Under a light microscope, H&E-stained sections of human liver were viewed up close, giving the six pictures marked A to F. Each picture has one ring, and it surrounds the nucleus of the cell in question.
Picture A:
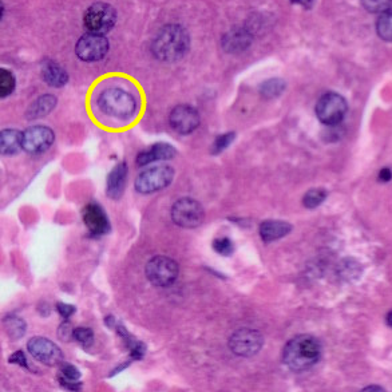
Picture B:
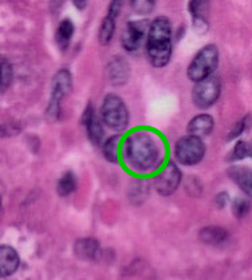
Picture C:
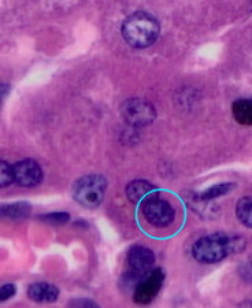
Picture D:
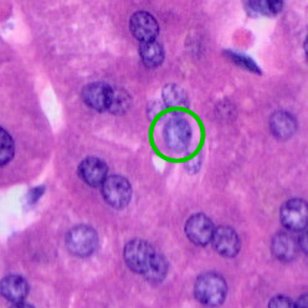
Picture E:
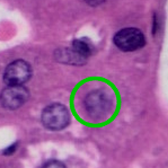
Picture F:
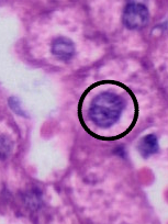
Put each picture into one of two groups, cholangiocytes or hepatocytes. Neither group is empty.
A: cholangiocyte
B: cholangiocyte
C: cholangiocyte
D: cholangiocyte
E: hepatocyte
F: hepatocyte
